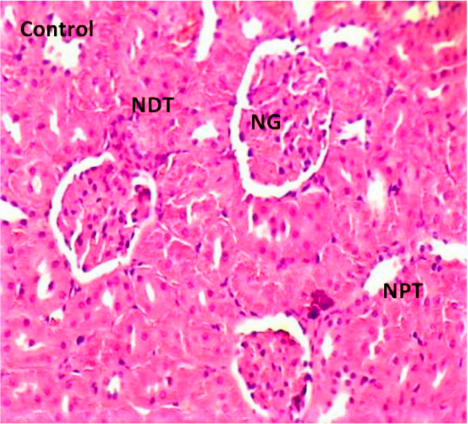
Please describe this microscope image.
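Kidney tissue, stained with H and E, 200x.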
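Renal cortex with several glomeruli, each a rounded tuft of nucleated capillary loops surrounded by a thin clear space, set among closely packed tubules. The tubules are lined by pink cuboidal epithelium with round dark nuclei and narrow lumens.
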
